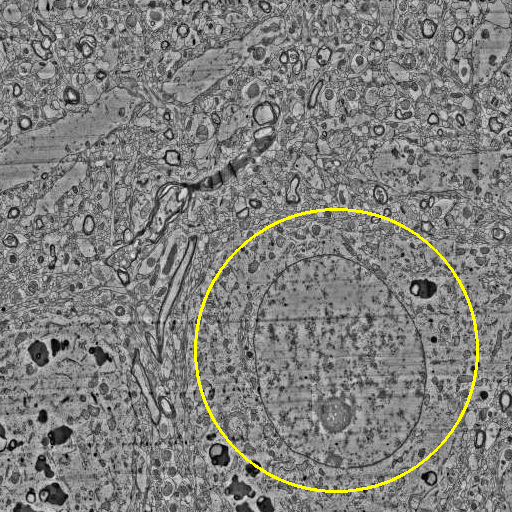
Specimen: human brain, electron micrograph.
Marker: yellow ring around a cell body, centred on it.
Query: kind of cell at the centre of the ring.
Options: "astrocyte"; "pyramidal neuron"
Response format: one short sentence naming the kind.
This cell body belongs to a pyramidal neuron.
